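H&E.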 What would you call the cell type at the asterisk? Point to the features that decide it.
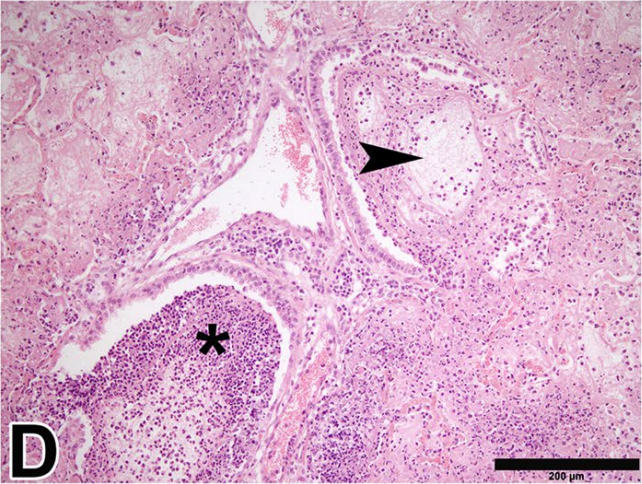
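The airway lumen at the asterisk is packed with densely crowded small cells with dark purple nuclei. The cells fill the lumen almost completely. The mass is bordered by a lining epithelium.
Conclusion: inflammatory cells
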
